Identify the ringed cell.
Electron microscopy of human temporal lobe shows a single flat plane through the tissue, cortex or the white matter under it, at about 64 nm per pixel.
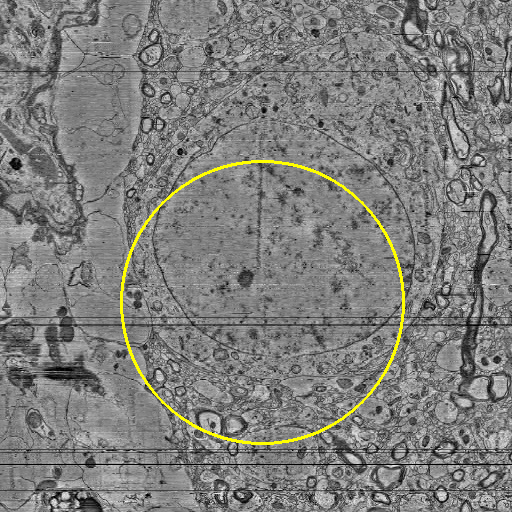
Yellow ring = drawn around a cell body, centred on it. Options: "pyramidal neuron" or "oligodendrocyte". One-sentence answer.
What the ring is centred on is a pyramidal neuron.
